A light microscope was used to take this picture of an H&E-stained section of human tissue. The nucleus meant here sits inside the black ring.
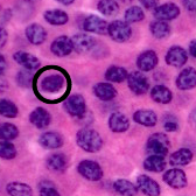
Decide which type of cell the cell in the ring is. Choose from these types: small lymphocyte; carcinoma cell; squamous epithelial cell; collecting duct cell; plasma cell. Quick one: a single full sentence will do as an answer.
In this tissue sample, the cell in the ring is a plasma cell.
